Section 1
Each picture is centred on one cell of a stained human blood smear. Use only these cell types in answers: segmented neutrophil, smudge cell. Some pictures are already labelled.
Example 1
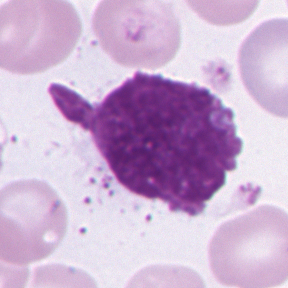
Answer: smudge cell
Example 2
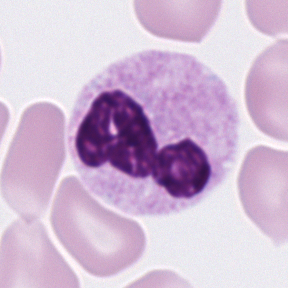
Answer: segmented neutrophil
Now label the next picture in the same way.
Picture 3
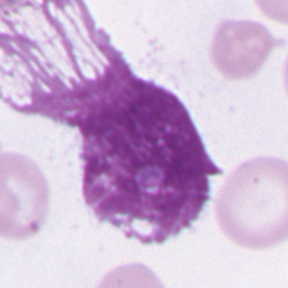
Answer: smudge cell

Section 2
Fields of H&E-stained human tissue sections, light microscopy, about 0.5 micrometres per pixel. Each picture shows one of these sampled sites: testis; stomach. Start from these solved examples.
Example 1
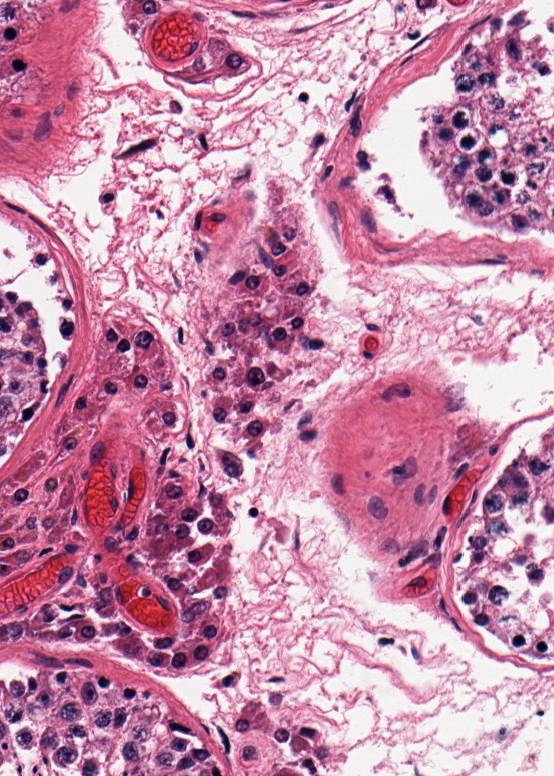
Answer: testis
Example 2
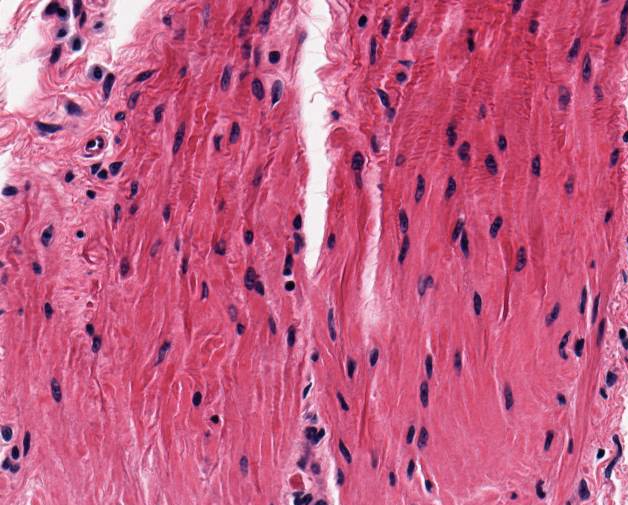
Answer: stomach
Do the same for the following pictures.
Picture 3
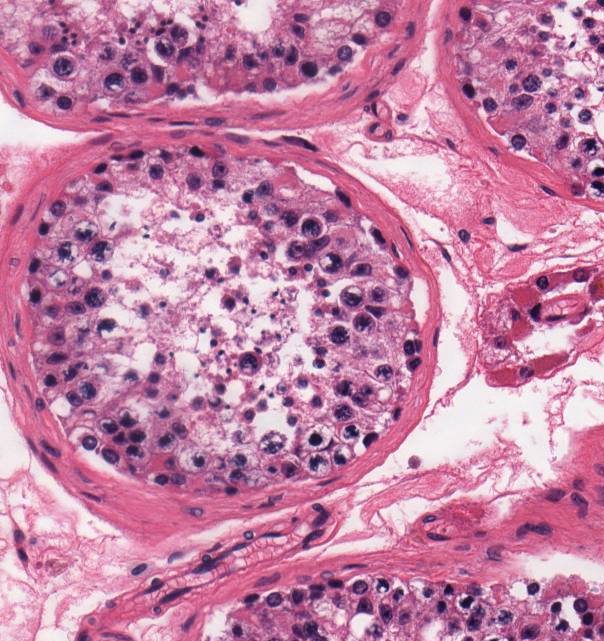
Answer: testis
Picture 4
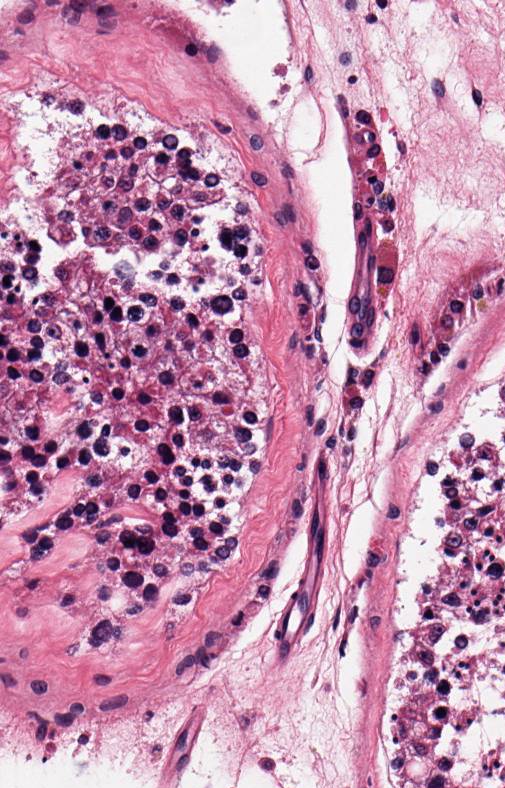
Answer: testis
